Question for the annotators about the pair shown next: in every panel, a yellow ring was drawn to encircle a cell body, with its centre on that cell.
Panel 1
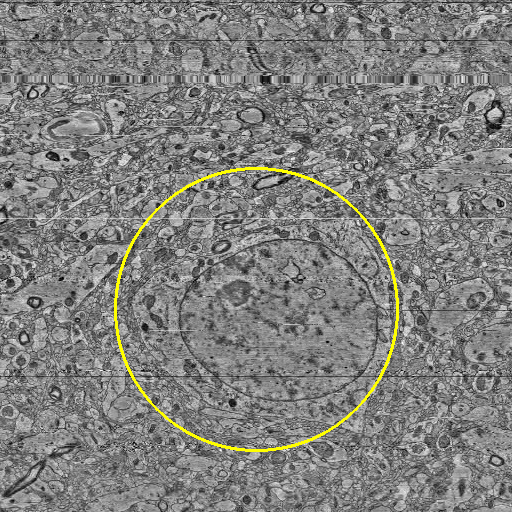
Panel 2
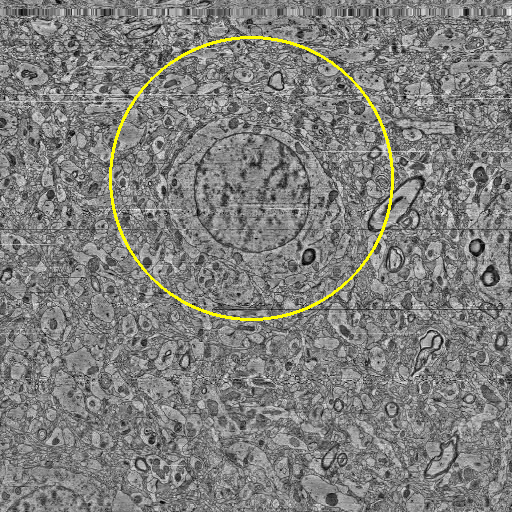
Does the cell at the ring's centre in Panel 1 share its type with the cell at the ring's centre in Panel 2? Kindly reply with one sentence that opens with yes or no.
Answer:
Yes, in Panels 1 and 2 the cells at the ring centres belong to a single type.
